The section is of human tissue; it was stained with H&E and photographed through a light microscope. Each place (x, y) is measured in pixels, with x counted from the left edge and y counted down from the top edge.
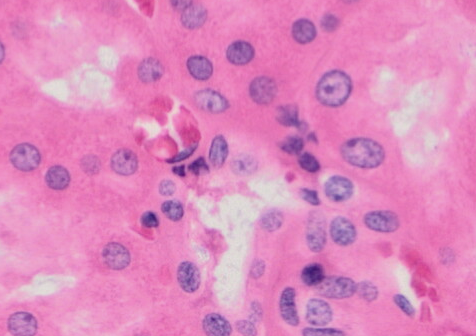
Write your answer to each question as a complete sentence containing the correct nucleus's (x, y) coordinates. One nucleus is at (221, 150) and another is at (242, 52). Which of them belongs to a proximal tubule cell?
Of the two nuclei, the one sitting at (242, 52) belongs to a proximal tubule cell.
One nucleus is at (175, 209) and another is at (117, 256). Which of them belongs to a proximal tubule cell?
The nucleus that belongs to a proximal tubule cell sits at (117, 256).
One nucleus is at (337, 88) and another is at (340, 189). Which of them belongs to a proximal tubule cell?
That would be the nucleus at (337, 88); it belongs to a proximal tubule cell.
